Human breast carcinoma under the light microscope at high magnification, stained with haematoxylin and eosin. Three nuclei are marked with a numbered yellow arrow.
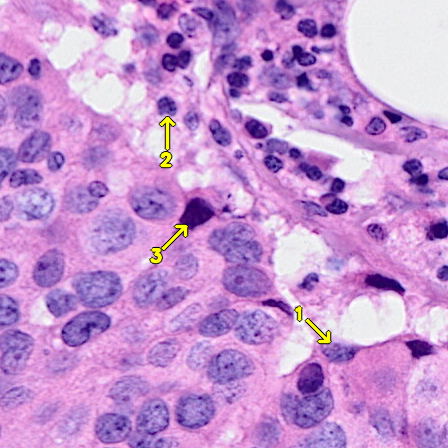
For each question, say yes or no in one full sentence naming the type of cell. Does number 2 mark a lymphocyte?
Yes, as for number 2, the cell is a lymphocyte.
